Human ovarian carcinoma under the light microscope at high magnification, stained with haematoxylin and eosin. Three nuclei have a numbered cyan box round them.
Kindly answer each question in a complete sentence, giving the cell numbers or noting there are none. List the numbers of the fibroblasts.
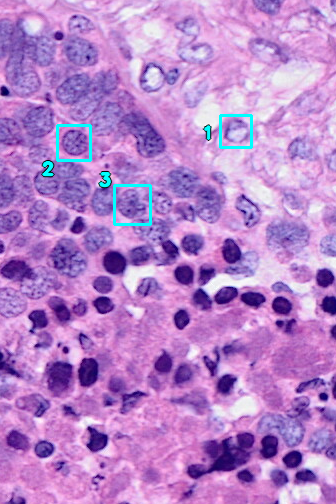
Of the numbered nuclei, only the one labelled 1 belongs to a fibroblast.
